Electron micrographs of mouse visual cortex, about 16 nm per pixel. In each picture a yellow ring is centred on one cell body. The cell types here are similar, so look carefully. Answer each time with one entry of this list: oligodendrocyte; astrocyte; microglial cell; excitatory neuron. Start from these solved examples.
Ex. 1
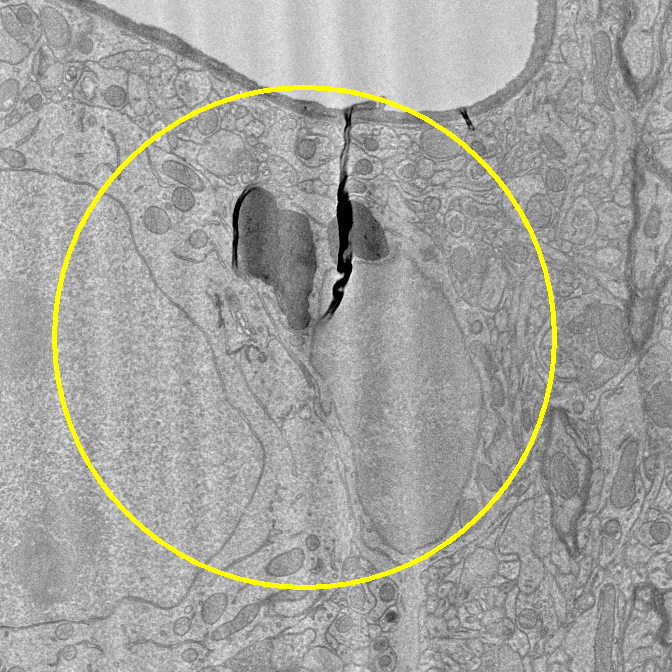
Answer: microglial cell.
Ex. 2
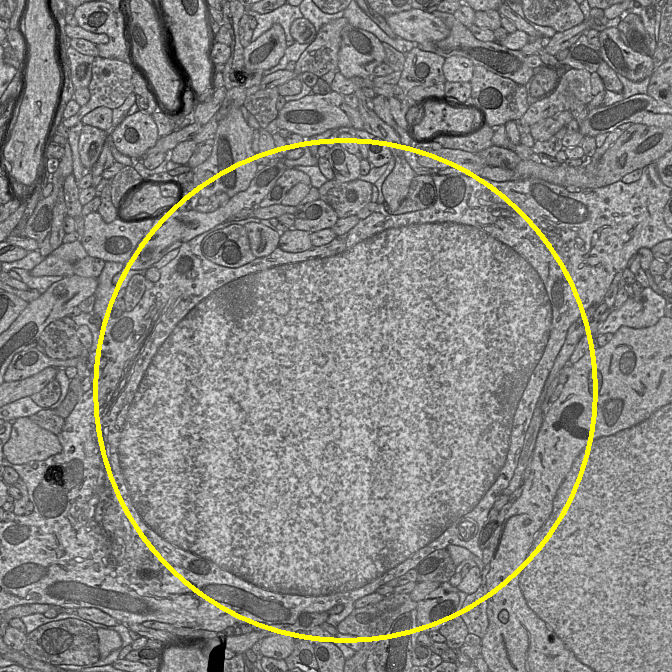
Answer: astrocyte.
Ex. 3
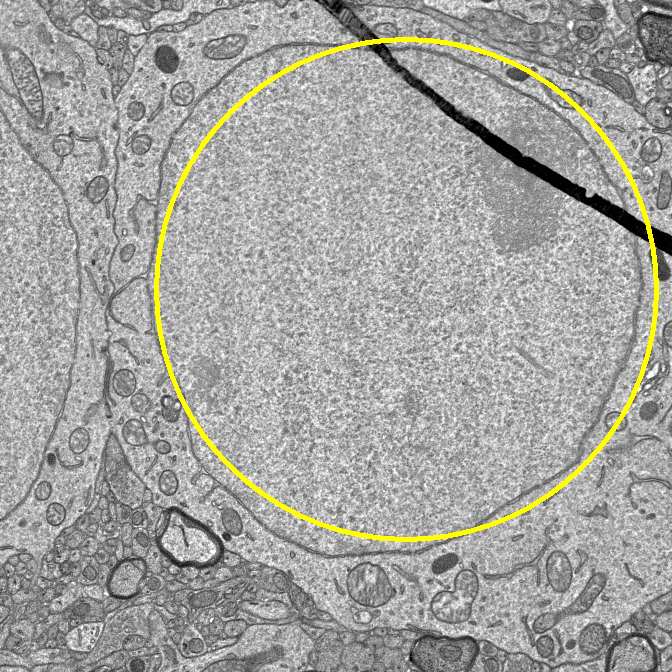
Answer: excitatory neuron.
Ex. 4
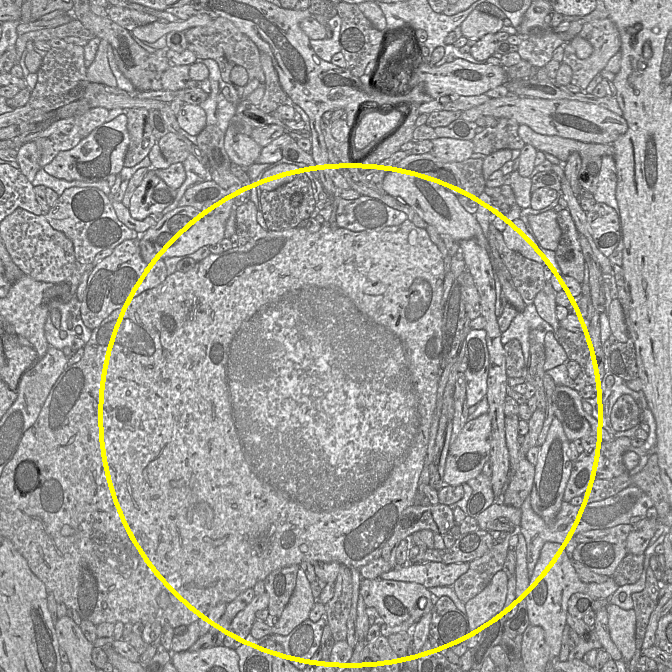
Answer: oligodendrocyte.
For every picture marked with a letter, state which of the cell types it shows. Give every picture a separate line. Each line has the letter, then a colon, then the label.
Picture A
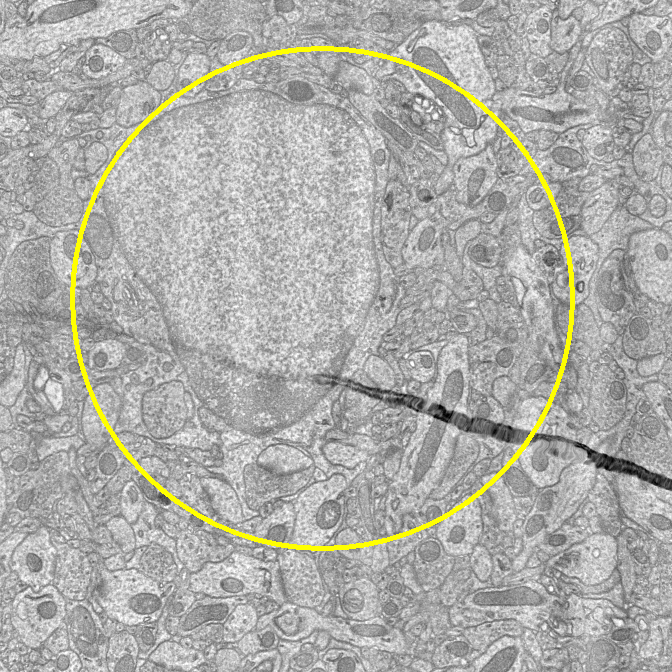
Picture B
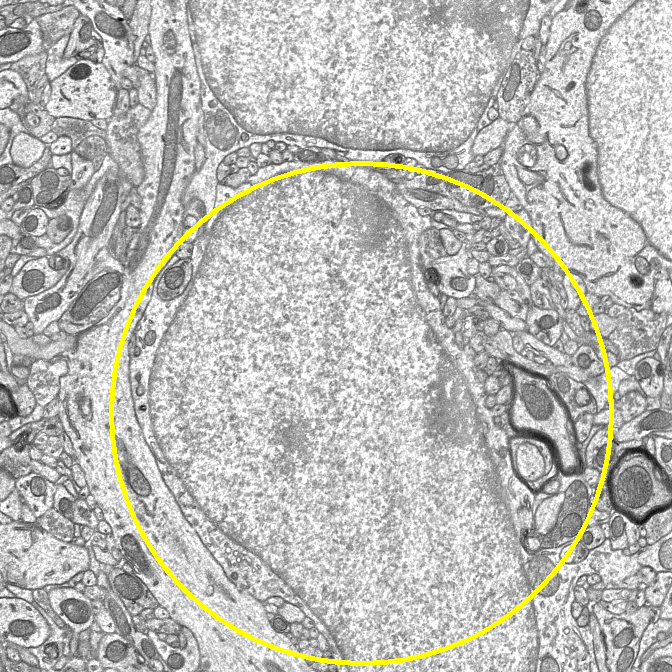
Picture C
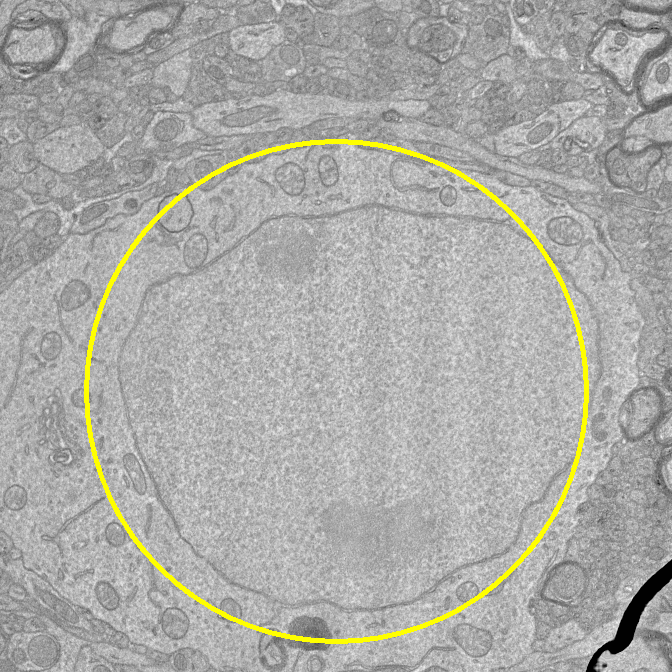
A: astrocyte.
B: astrocyte.
C: excitatory neuron.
